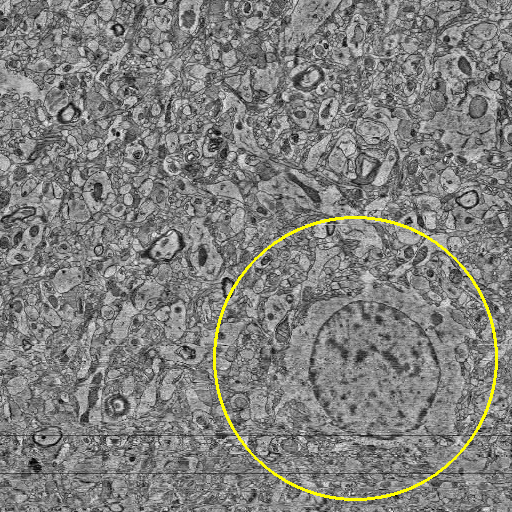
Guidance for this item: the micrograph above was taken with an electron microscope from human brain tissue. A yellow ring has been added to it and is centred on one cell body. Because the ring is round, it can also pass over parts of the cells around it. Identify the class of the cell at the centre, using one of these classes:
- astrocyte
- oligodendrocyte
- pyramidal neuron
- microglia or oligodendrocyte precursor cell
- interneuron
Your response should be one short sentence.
The ring surrounds the body of an astrocyte.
